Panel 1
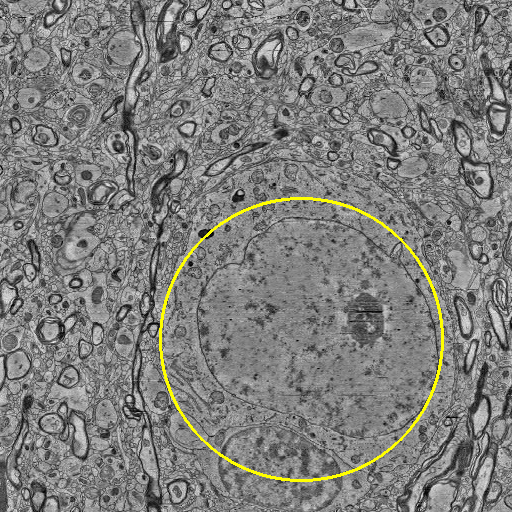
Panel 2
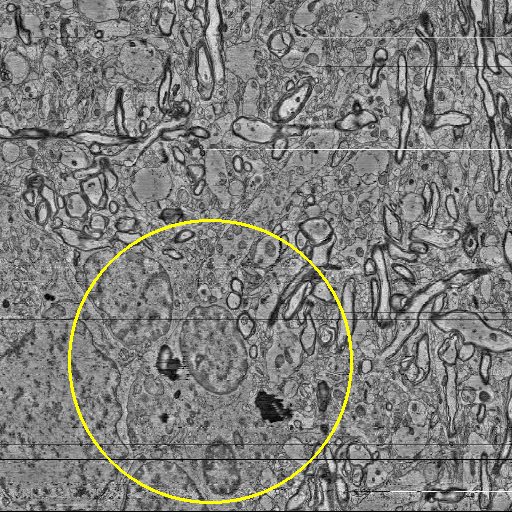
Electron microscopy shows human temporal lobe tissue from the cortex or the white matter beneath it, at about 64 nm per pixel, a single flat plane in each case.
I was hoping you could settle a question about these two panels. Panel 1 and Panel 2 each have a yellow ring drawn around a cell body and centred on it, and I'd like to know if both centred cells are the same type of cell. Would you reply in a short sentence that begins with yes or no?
No, they are two types of cell.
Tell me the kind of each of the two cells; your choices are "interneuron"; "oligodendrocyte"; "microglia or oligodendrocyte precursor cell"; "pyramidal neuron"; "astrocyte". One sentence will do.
The ringed cell is a pyramidal neuron in the first picture and an oligodendrocyte in the second picture.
